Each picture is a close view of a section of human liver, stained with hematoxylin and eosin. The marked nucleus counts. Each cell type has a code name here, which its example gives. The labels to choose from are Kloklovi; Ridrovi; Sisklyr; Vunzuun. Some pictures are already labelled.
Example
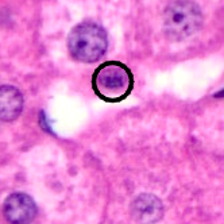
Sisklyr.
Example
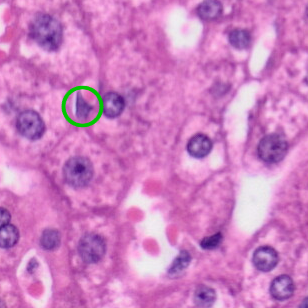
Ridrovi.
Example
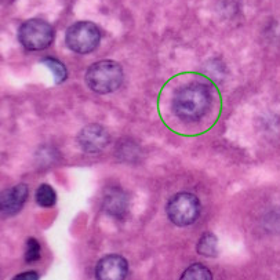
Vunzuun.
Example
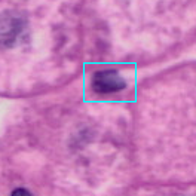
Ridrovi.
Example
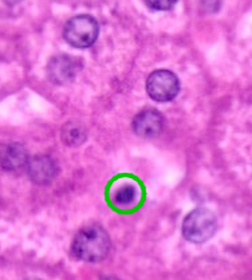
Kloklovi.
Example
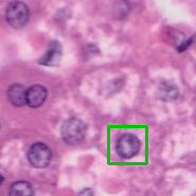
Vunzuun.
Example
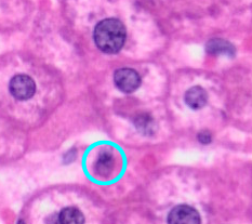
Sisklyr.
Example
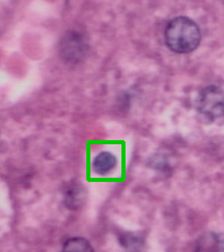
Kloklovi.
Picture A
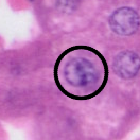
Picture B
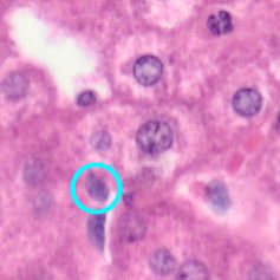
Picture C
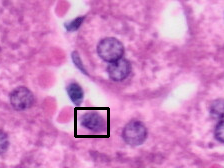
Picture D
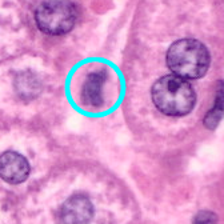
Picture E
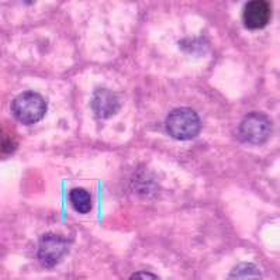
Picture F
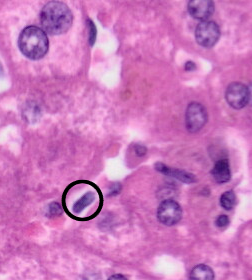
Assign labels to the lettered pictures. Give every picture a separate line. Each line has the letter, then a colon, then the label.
A: Vunzuun.
B: Ridrovi.
C: Sisklyr.
D: Sisklyr.
E: Kloklovi.
F: Kloklovi.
